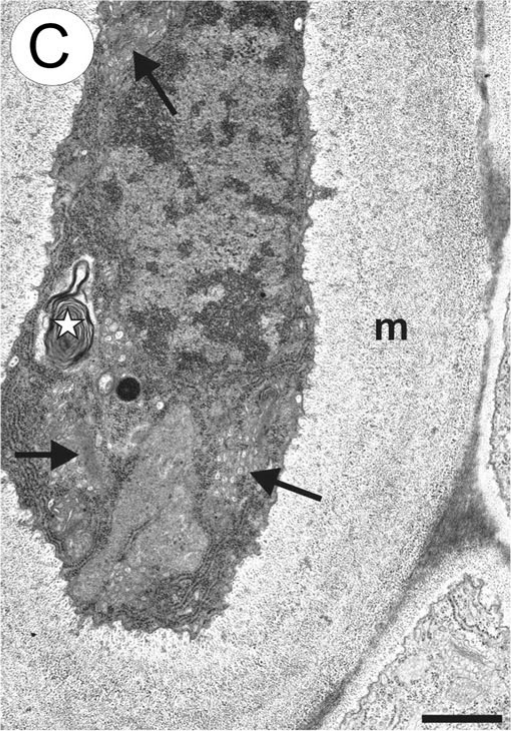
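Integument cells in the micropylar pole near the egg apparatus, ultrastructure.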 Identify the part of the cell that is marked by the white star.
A: Membranous vacuolar inclusion.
